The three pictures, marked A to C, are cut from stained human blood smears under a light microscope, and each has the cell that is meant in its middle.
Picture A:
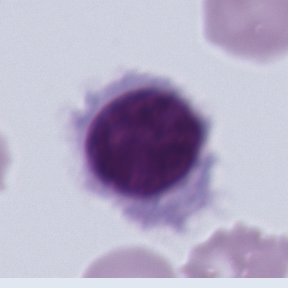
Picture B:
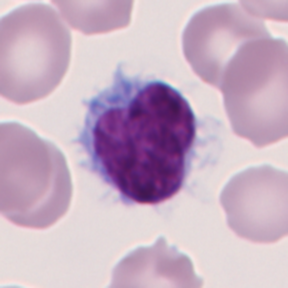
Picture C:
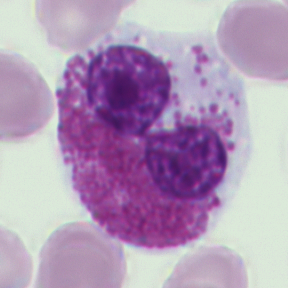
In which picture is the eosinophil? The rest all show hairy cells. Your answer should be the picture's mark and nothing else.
C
